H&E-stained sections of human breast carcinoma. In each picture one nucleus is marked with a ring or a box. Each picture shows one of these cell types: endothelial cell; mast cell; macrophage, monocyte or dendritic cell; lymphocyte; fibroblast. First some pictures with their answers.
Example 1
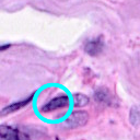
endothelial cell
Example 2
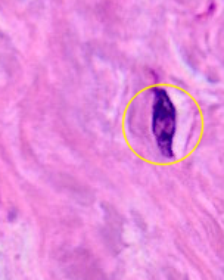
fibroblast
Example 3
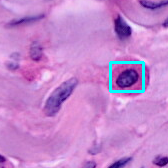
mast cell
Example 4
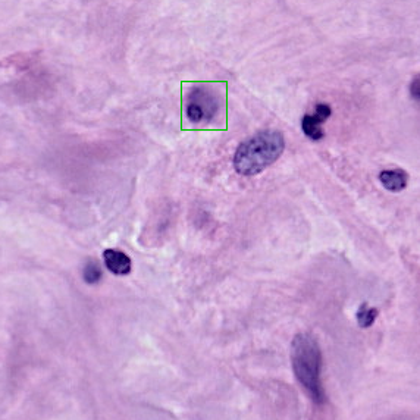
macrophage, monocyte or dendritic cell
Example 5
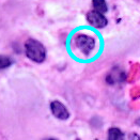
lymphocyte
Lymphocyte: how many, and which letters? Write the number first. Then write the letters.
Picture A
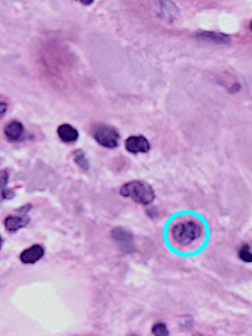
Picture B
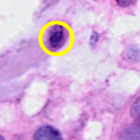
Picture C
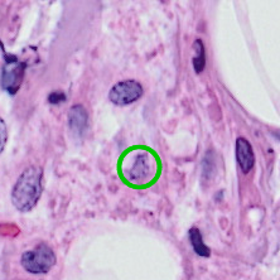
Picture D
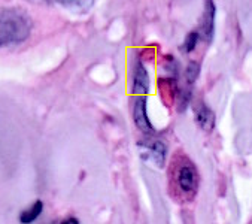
0, none of them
